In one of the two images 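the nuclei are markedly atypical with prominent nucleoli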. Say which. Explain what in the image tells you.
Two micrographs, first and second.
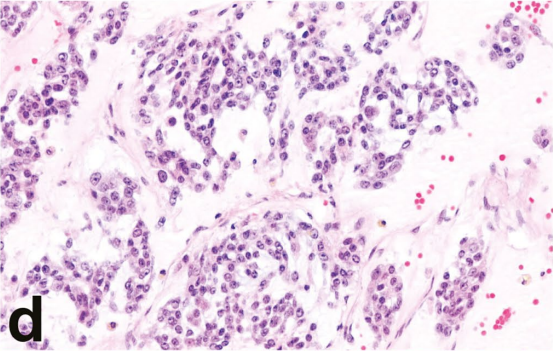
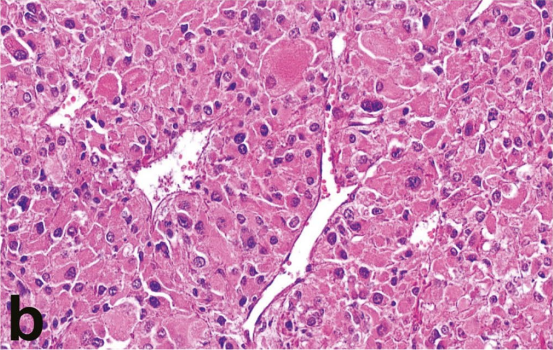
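The second image. First image: nuclei are small, round and fairly uniform. Second image: nuclei vary greatly in size, some are large with conspicuous nucleoli.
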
